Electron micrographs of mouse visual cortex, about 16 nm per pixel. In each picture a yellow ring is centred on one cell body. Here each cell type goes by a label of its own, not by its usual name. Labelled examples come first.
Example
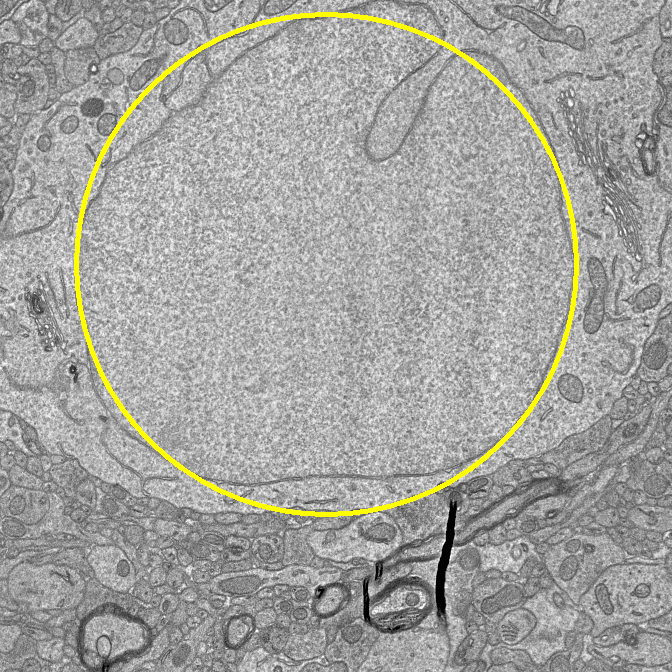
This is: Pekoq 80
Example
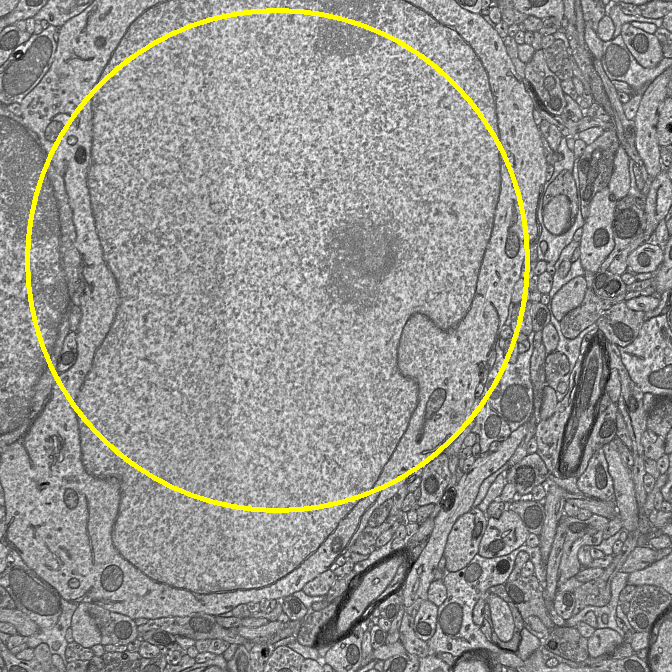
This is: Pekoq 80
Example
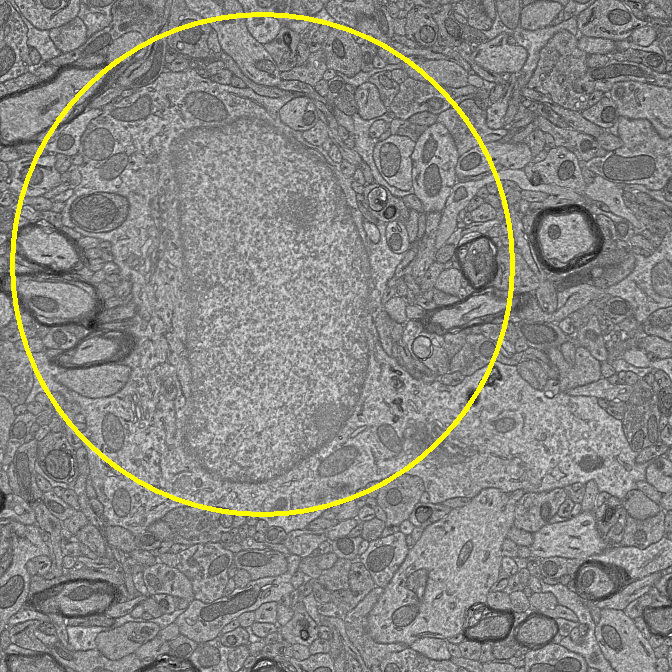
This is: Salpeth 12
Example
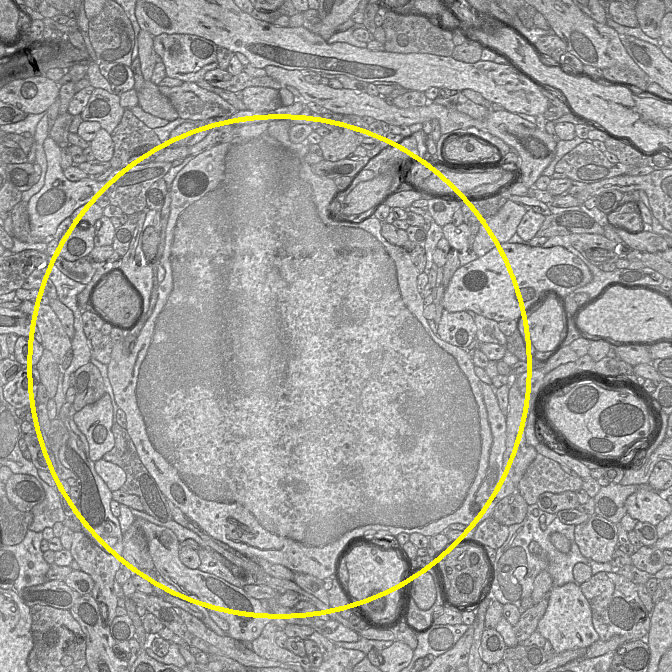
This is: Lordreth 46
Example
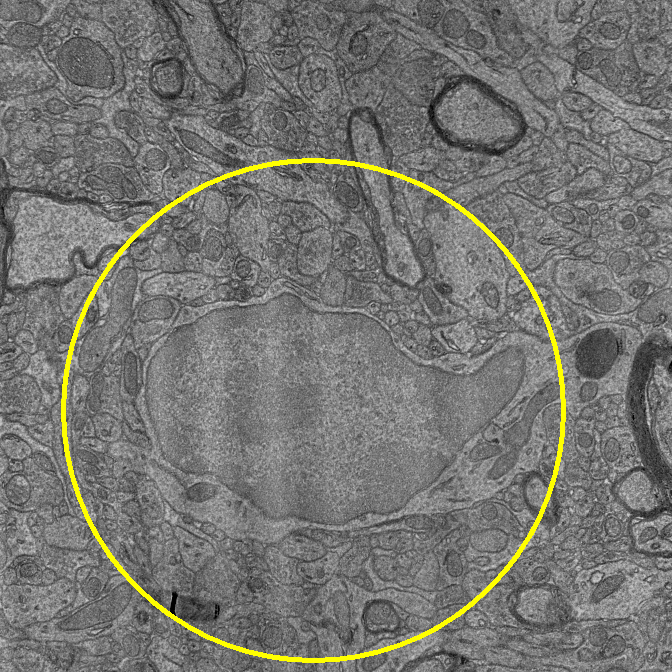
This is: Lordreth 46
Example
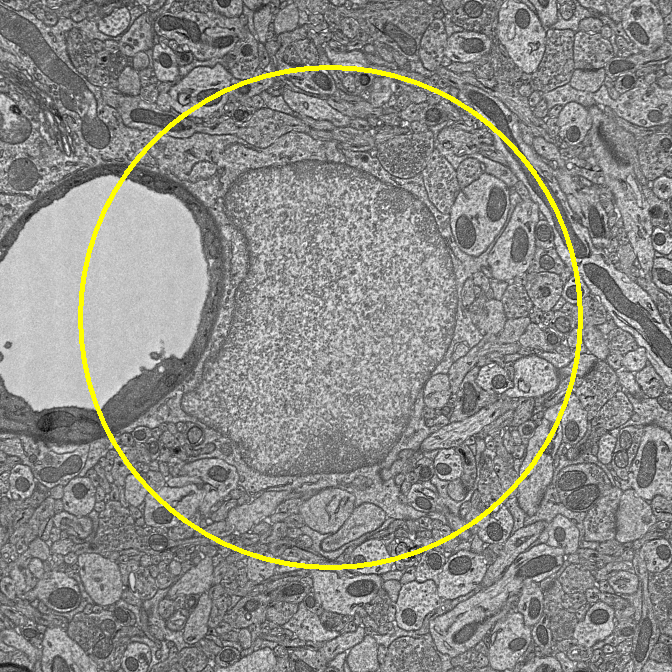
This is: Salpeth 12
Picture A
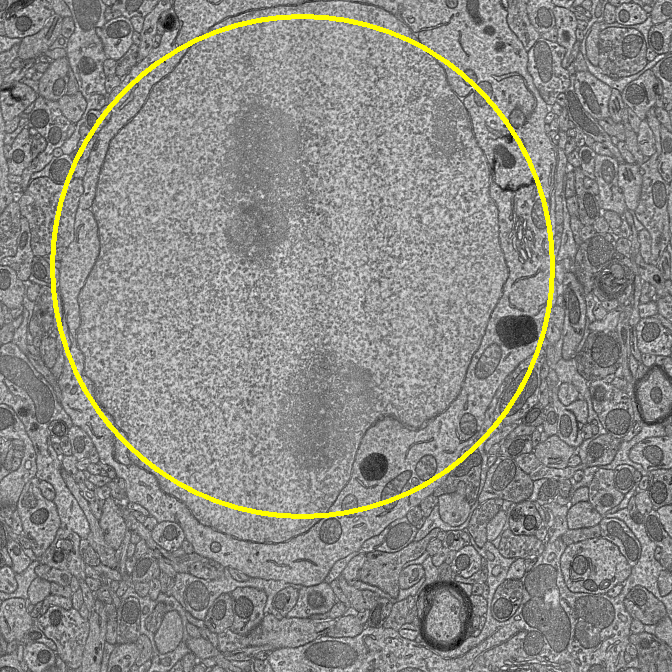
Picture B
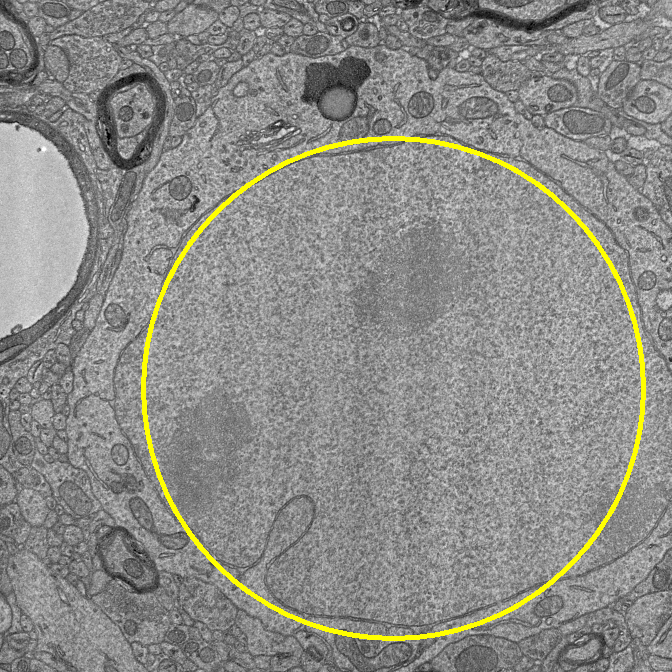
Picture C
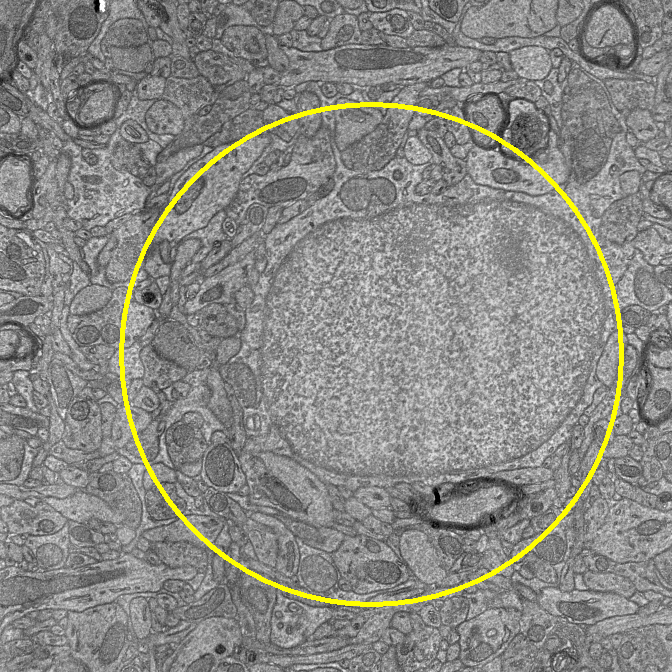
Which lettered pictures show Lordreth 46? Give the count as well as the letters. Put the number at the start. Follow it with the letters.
0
